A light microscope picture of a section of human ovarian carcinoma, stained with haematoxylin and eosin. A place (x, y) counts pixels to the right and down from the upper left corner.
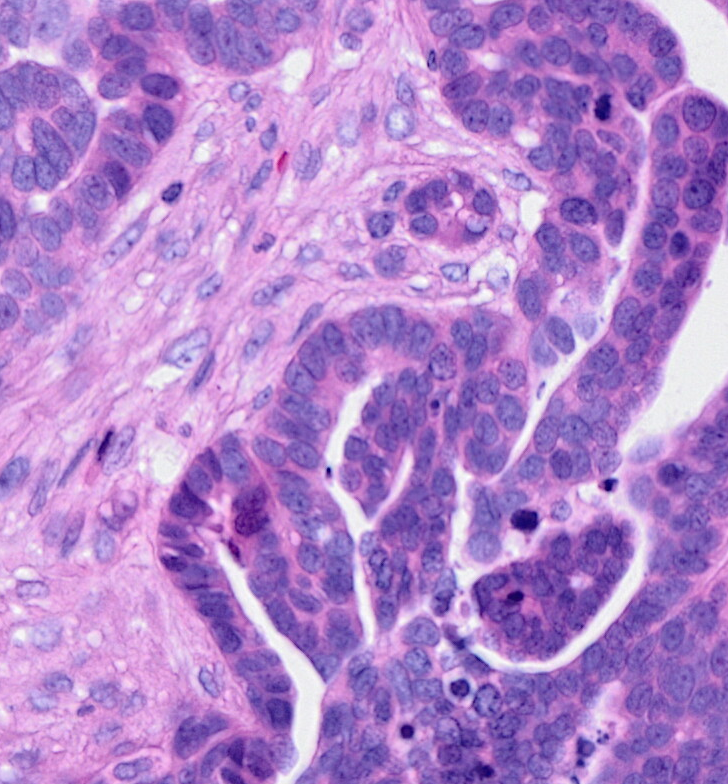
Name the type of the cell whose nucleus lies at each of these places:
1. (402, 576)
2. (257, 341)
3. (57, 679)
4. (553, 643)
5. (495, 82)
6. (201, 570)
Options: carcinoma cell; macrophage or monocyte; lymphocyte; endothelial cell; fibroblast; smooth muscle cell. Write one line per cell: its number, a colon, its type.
1: carcinoma cell
2: fibroblast
3: fibroblast
4: carcinoma cell
5: carcinoma cell
6: carcinoma cell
